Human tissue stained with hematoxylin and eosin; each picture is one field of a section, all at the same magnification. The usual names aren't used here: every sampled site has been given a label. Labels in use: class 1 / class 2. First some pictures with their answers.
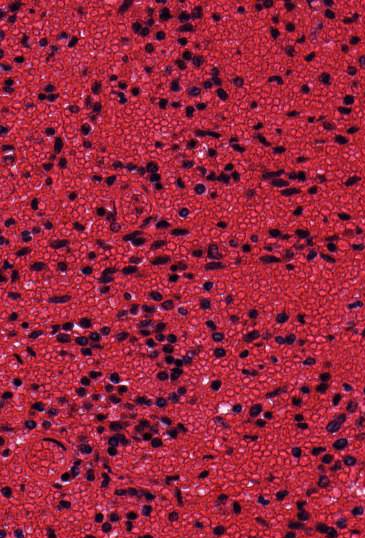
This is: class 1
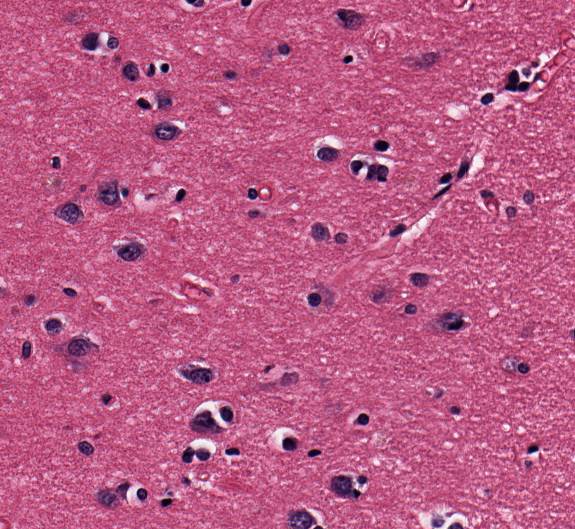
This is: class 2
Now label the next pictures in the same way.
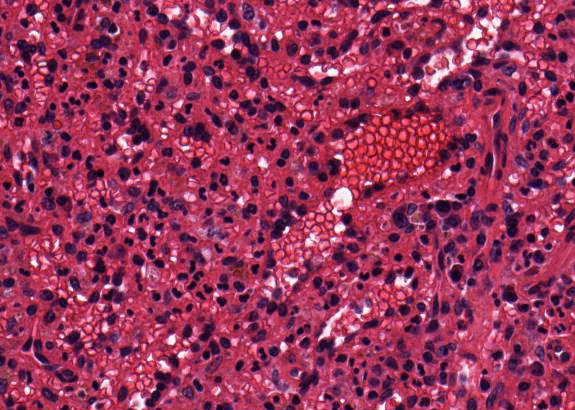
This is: class 1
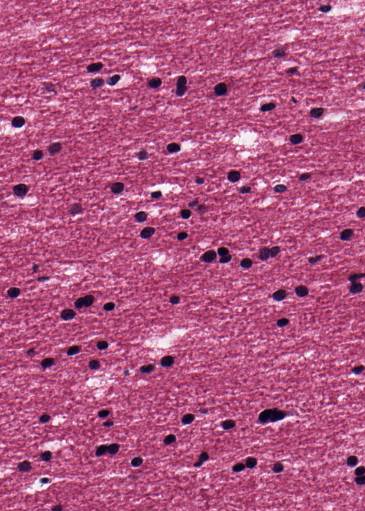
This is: class 2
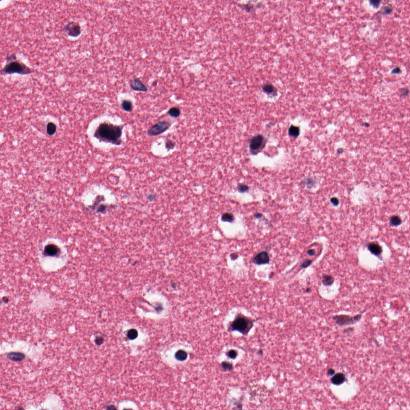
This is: class 2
